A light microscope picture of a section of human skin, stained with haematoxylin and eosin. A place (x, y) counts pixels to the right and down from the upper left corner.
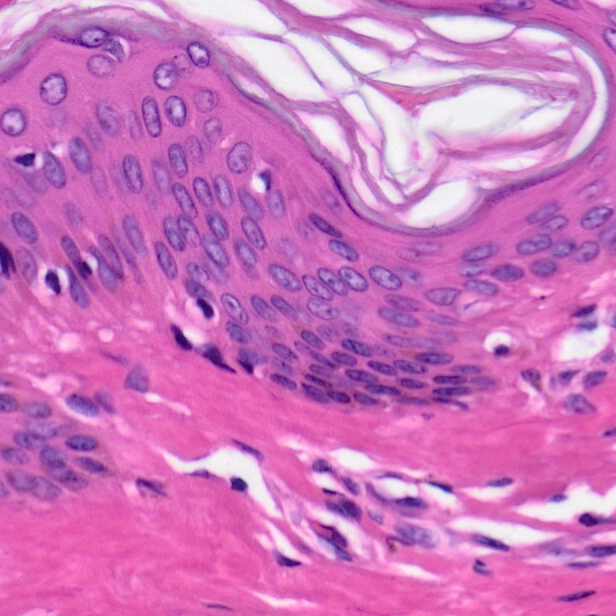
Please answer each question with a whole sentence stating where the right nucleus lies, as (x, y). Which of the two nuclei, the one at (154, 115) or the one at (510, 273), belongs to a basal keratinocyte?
At (510, 273) lies the nucleus that belongs to a basal keratinocyte.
